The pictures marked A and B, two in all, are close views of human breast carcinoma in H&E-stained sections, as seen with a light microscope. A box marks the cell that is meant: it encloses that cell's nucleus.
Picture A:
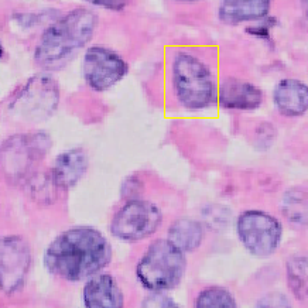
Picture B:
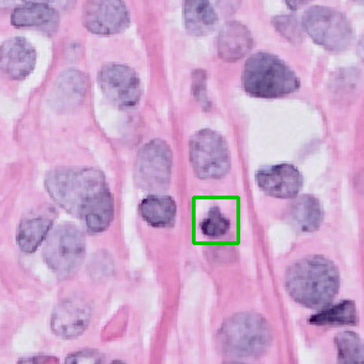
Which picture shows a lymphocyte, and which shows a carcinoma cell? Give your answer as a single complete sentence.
The cell in picture A is a carcinoma cell, and the one in picture B is a lymphocyte.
